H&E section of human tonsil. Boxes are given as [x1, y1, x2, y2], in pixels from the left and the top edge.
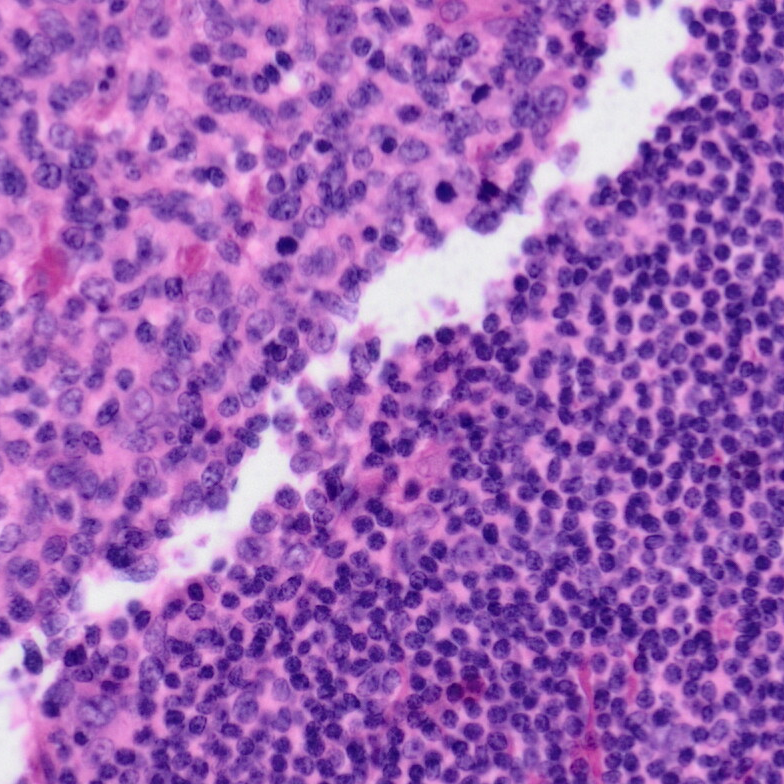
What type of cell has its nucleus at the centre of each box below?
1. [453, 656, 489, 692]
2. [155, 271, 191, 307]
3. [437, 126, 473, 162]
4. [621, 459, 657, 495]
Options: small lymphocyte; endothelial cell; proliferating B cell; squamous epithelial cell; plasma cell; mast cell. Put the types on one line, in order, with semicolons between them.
small lymphocyte; proliferating B cell; proliferating B cell; small lymphocyte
